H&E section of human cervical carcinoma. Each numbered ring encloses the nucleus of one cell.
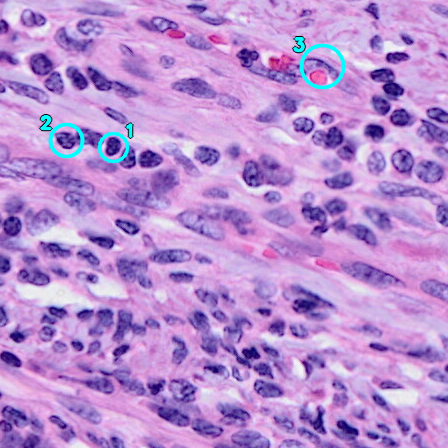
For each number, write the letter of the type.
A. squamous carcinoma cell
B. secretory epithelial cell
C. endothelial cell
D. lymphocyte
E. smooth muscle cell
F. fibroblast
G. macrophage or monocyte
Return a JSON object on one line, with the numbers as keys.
{"1": "D", "2": "D", "3": "C"}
